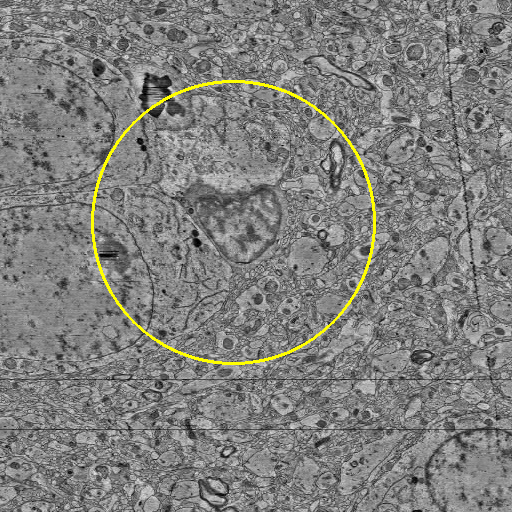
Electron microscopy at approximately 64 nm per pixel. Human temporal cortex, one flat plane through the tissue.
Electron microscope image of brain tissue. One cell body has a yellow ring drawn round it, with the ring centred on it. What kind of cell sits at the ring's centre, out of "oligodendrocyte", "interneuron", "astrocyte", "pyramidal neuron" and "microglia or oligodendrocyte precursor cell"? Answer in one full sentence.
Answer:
It is an oligodendrocyte whose cell body sits at the centre of the yellow ring.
